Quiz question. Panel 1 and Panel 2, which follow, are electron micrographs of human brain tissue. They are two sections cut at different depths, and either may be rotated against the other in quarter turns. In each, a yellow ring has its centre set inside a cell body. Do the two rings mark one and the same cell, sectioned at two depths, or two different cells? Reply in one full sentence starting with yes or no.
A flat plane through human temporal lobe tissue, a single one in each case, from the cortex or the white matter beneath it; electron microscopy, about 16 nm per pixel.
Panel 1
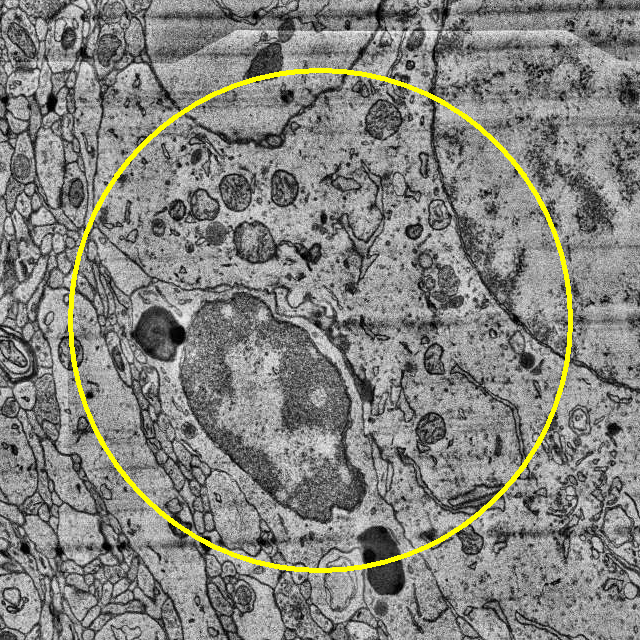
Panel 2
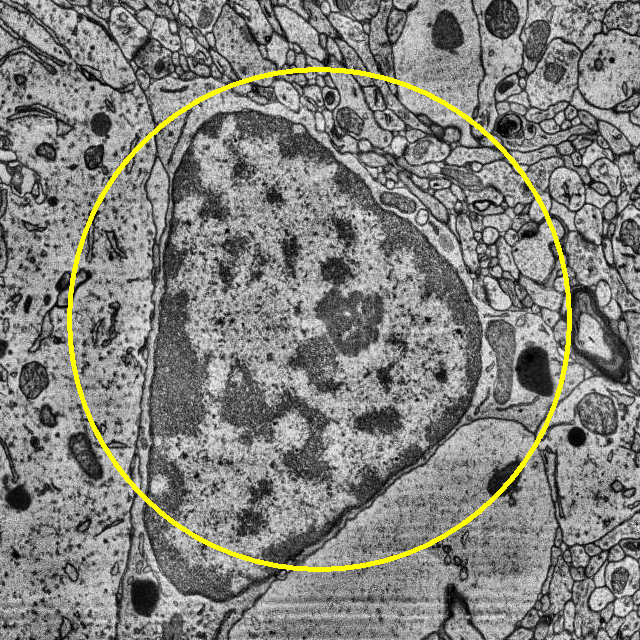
Yes, the rings do not mark different cells but one cell.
